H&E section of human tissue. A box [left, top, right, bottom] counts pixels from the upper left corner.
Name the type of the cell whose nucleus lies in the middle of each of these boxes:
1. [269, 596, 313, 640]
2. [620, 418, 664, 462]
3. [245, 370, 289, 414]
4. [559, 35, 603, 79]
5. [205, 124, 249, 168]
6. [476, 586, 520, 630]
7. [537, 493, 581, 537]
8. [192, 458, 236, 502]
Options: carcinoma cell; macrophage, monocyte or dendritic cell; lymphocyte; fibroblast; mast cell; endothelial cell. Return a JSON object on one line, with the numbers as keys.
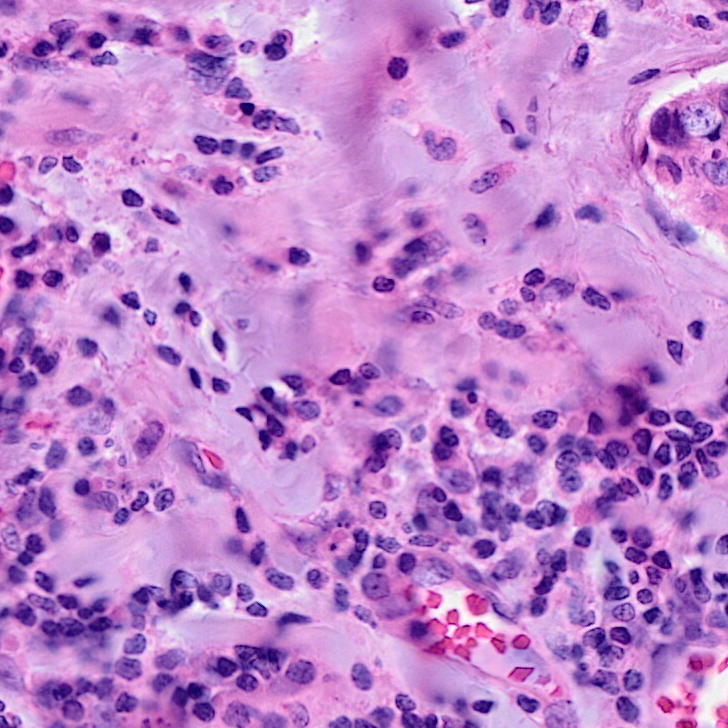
{"1": "lymphocyte", "2": "lymphocyte", "3": "lymphocyte", "4": "mast cell", "5": "lymphocyte", "6": "endothelial cell", "7": "lymphocyte", "8": "endothelial cell"}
